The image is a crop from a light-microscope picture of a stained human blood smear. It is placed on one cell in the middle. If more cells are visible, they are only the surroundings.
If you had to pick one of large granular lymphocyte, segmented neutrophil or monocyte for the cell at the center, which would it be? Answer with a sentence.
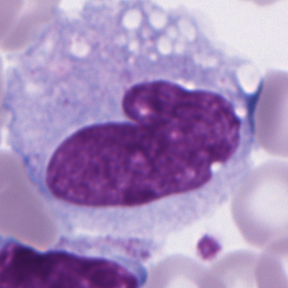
The cell of interest, in the center, is a monocyte.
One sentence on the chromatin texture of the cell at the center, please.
The chromatin here is fine and lacks any coarse clumps.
